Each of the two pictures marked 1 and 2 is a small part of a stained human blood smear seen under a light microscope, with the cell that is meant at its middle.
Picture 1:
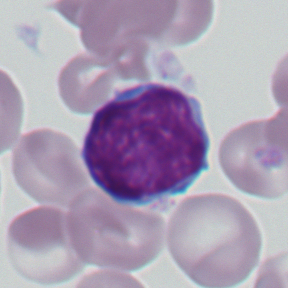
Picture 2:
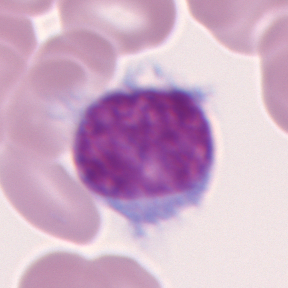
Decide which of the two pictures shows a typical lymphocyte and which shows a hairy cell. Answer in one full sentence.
Picture 1 shows a typical lymphocyte and picture 2 shows a hairy cell.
